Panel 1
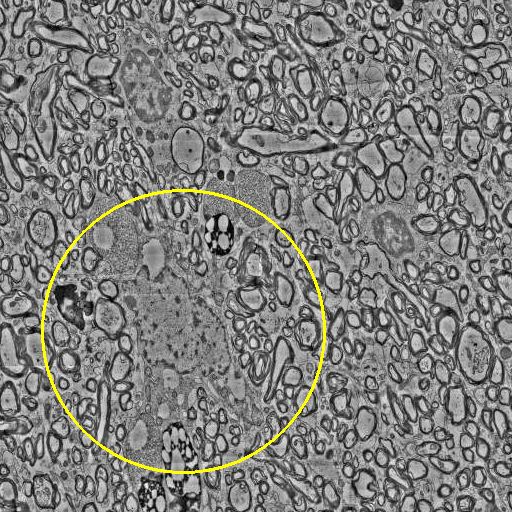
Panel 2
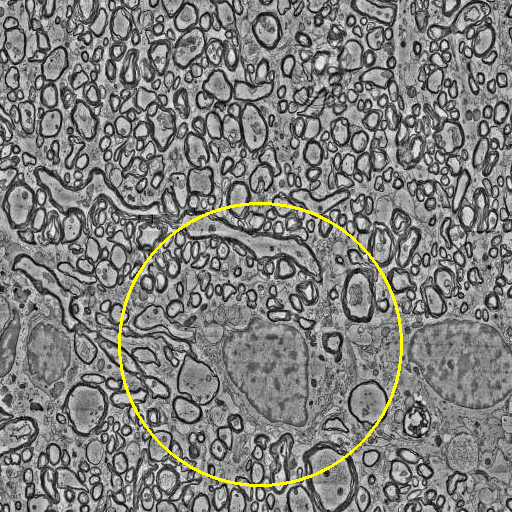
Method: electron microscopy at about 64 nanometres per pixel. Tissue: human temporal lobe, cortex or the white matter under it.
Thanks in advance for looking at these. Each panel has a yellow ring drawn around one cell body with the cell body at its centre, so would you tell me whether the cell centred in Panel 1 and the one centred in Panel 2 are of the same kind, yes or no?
no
